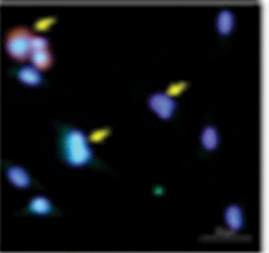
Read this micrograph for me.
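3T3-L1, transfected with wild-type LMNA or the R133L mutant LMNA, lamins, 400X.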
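Cultured pre-adipocytes are shown with nuclei appearing in mixed blue, pink and cyan tones on a dark background, with faint green cytoplasm around some cells. Most nuclei are oval, while those marked by arrows are enlarged or irregular, including a cluster of rounded nuclear lobes at the upper left with a red rim.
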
